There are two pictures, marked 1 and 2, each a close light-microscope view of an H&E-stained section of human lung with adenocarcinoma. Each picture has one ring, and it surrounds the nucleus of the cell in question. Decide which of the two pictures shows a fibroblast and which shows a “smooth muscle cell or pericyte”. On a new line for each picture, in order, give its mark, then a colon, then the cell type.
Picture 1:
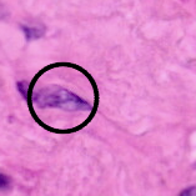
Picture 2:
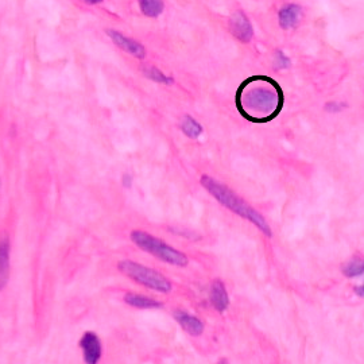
1: fibroblast
2: smooth muscle cell or pericyte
